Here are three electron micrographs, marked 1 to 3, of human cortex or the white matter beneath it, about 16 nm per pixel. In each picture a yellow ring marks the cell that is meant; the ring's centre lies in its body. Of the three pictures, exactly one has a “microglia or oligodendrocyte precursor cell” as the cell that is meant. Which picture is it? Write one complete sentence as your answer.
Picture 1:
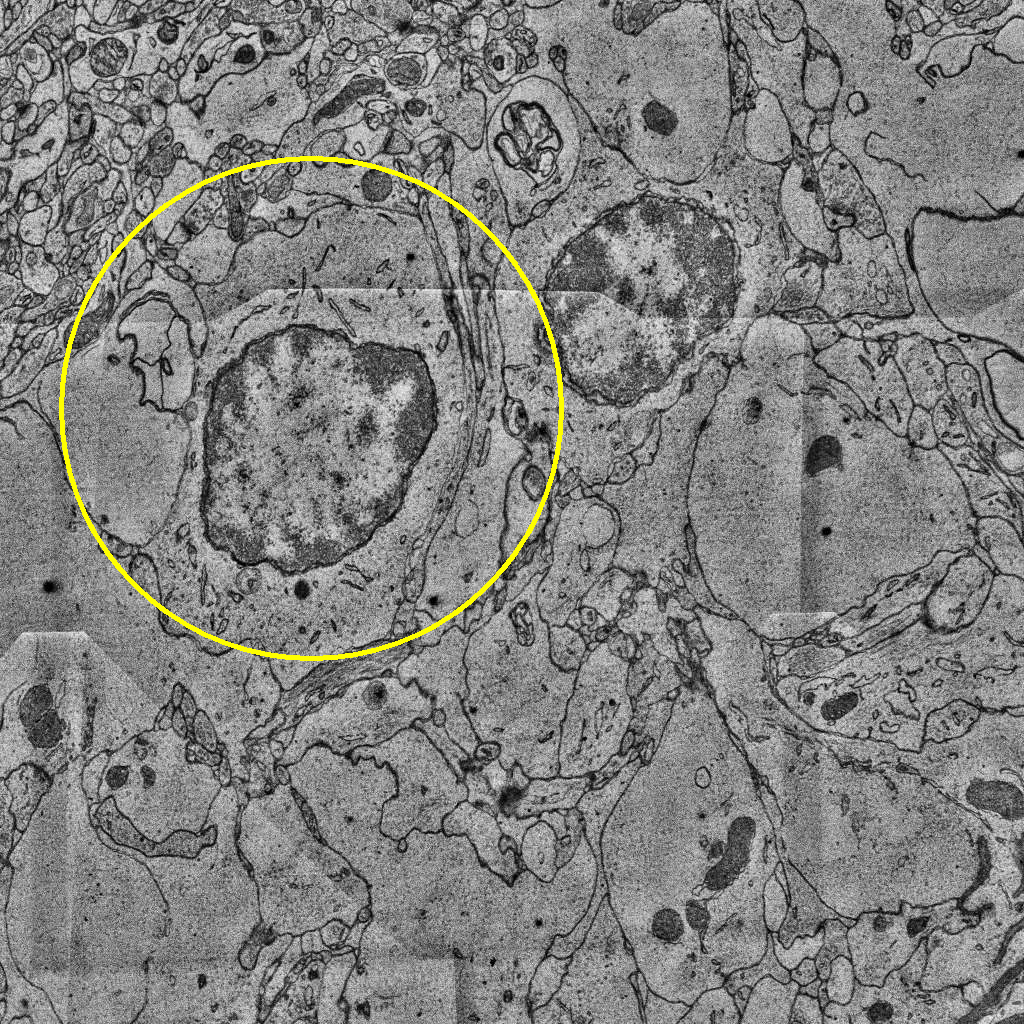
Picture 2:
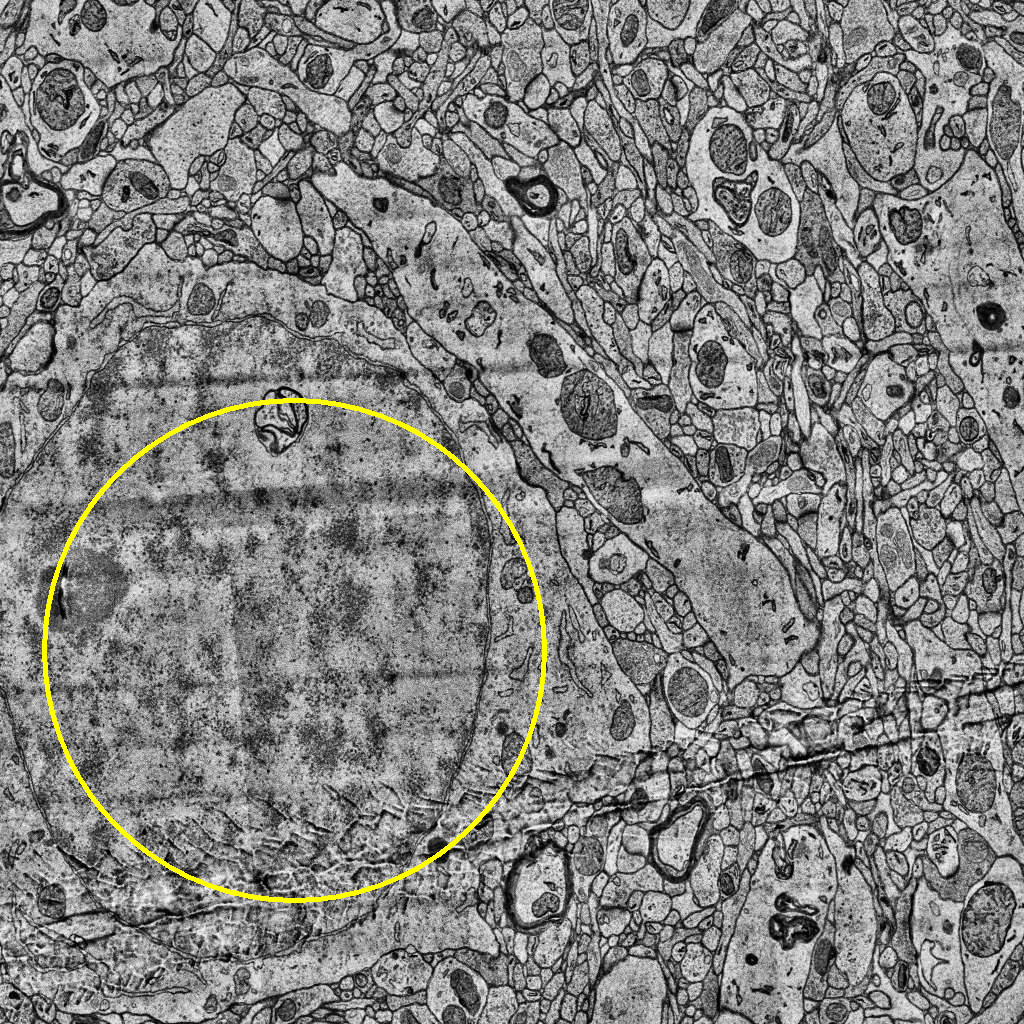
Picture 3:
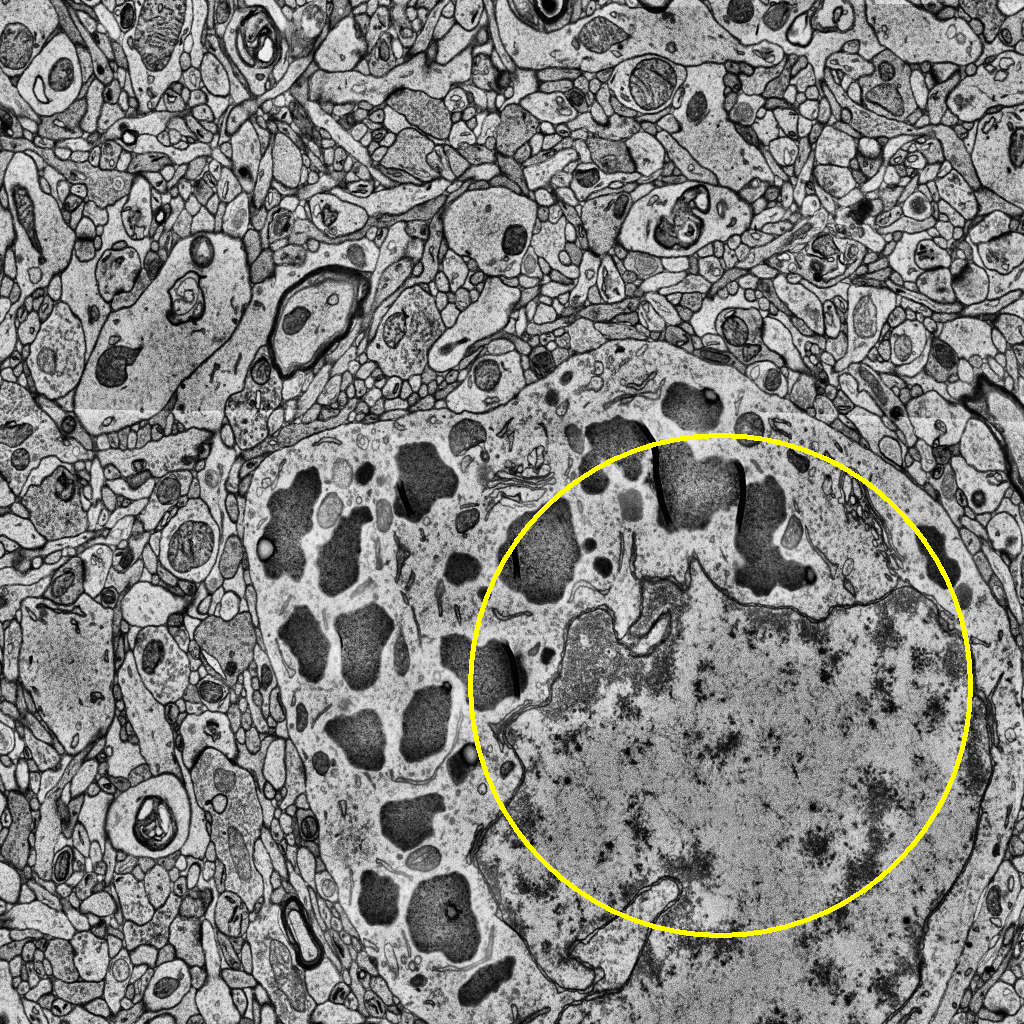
The picture with the “microglia or oligodendrocyte precursor cell” is 1.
